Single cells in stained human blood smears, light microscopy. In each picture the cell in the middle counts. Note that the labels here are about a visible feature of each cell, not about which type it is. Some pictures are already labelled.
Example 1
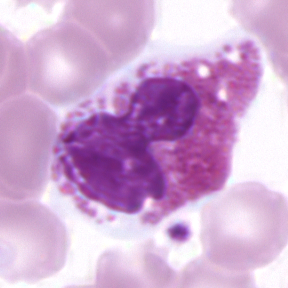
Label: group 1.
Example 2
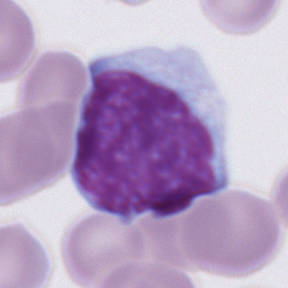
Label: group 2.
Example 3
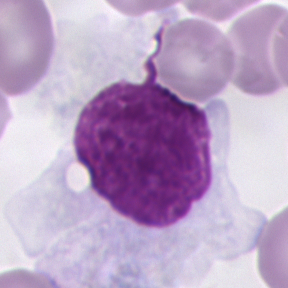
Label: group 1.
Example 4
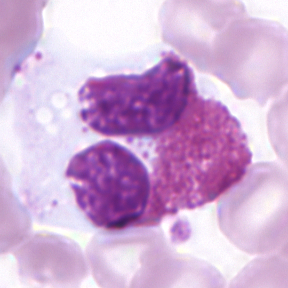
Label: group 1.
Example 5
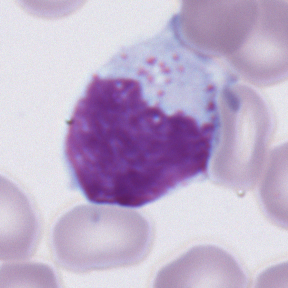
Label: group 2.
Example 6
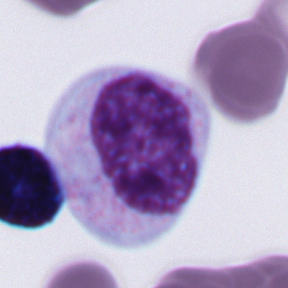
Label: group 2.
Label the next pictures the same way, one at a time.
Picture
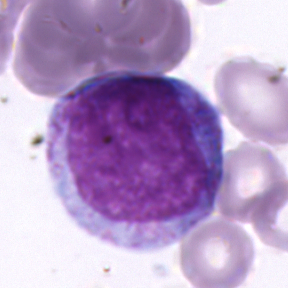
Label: group 2.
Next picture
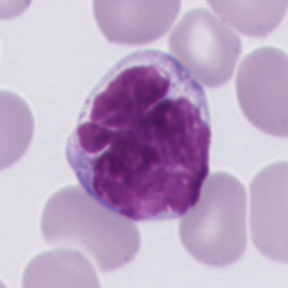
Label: group 1.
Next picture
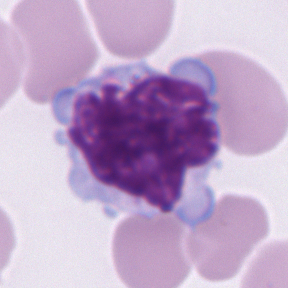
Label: group 2.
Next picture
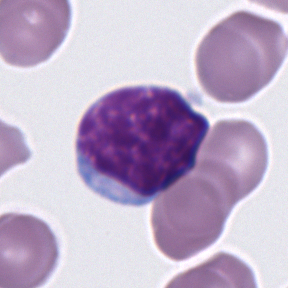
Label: group 2.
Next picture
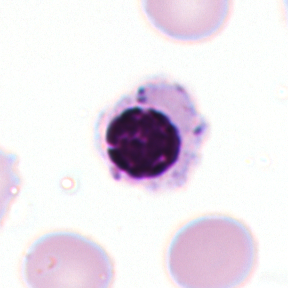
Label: group 2.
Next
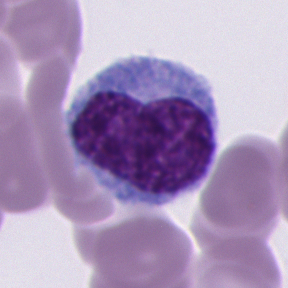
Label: group 2.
